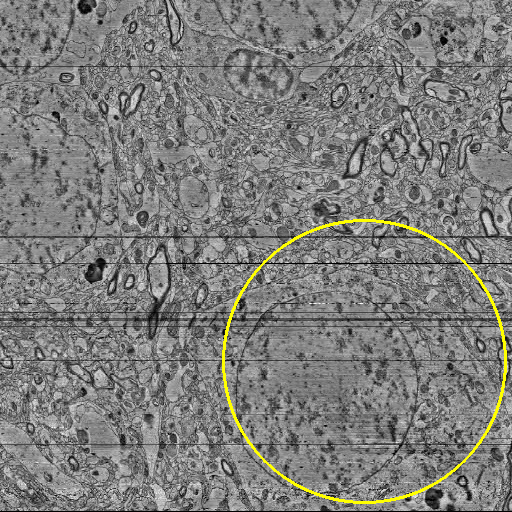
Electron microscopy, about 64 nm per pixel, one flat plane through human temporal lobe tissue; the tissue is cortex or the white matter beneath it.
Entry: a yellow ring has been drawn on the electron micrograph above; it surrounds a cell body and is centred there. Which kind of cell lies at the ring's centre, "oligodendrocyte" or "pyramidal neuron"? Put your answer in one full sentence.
The cell sitting at the ring's centre is a pyramidal neuron in the micrograph above.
